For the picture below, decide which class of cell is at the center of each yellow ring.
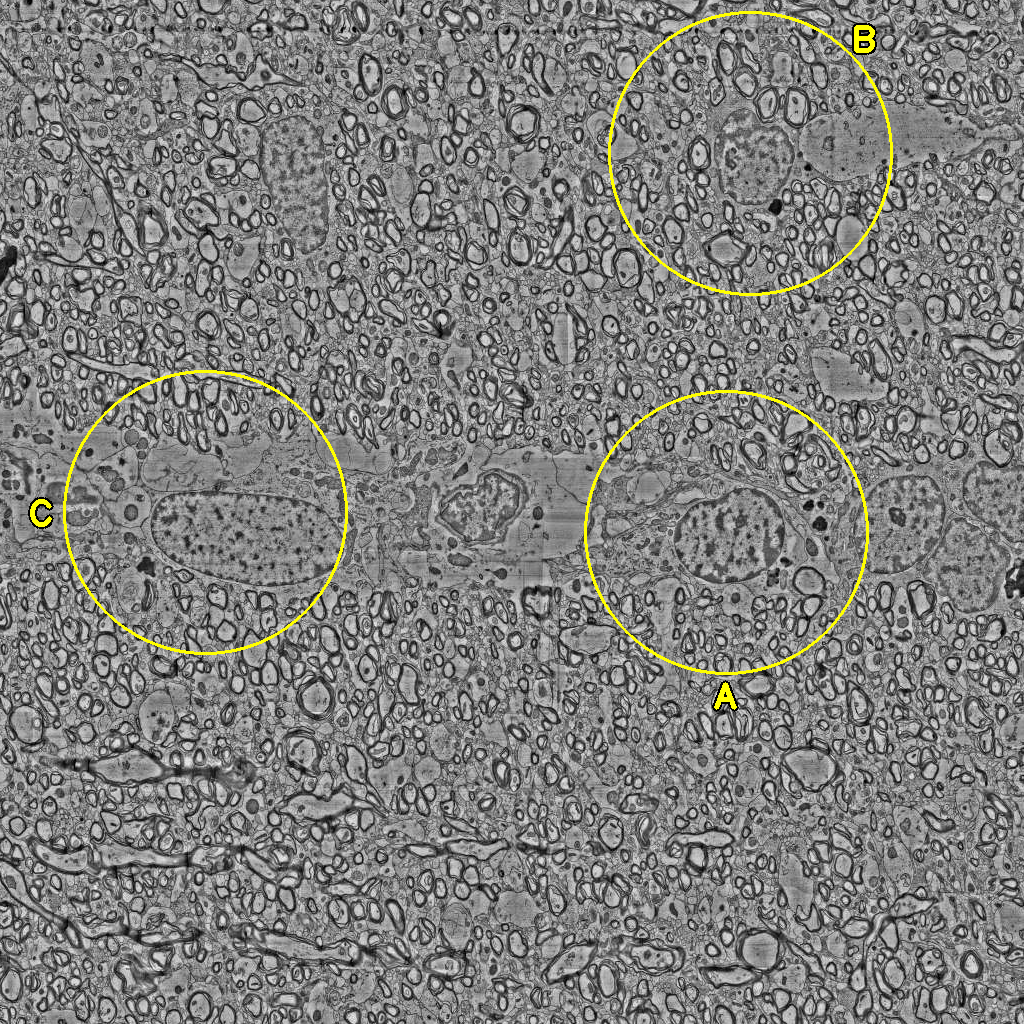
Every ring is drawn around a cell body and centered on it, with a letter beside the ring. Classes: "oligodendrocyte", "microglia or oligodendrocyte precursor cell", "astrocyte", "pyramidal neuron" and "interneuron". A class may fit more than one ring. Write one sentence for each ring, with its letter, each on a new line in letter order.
Centered in ring A is a microglial cell or oligodendrocyte precursor cell.
Centered in ring B is an oligodendrocyte.
Centered in ring C is a microglial cell or oligodendrocyte precursor cell.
